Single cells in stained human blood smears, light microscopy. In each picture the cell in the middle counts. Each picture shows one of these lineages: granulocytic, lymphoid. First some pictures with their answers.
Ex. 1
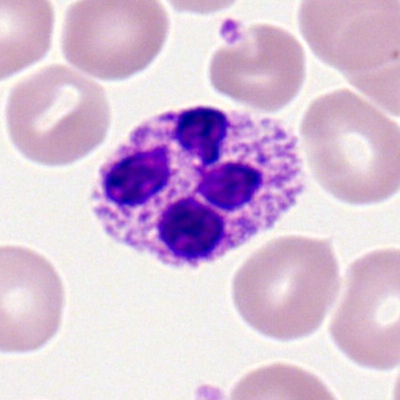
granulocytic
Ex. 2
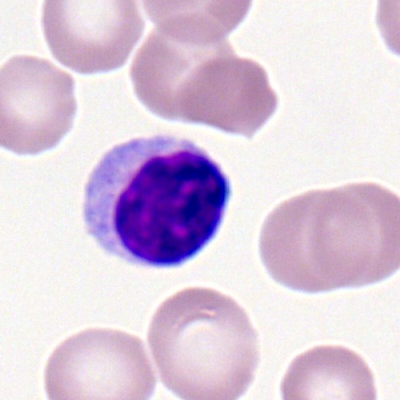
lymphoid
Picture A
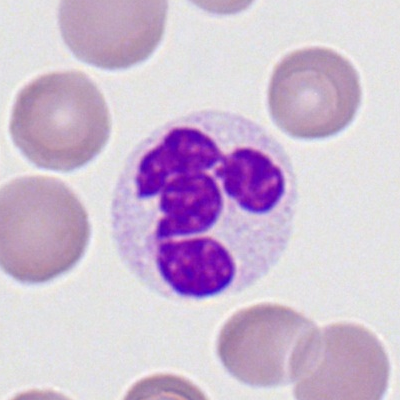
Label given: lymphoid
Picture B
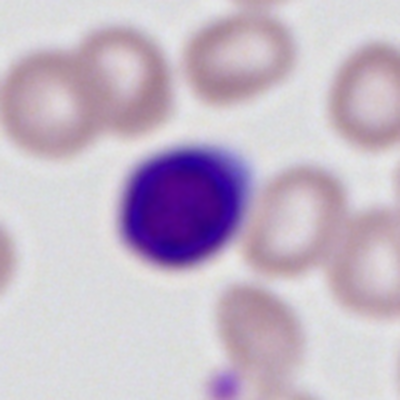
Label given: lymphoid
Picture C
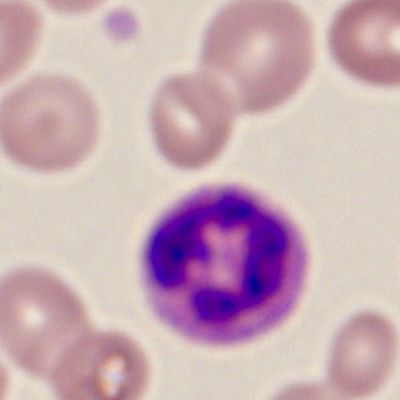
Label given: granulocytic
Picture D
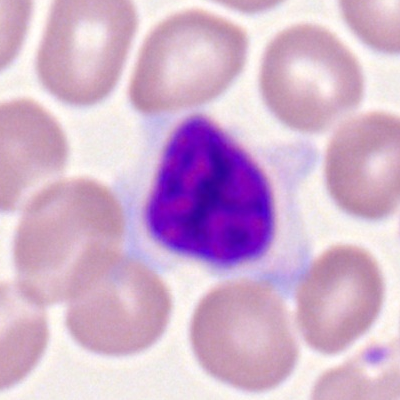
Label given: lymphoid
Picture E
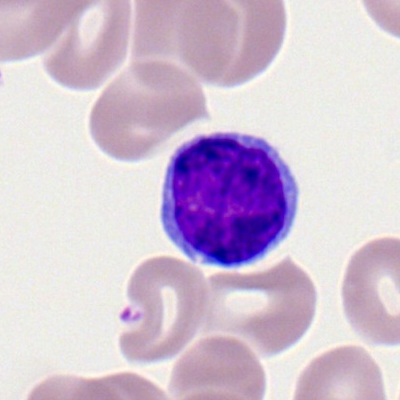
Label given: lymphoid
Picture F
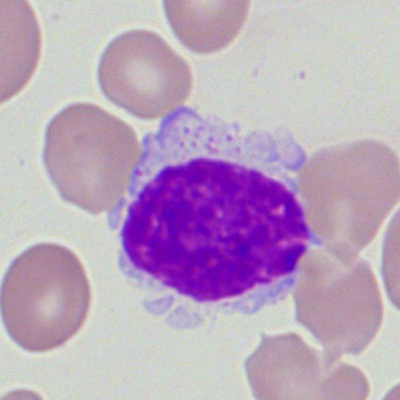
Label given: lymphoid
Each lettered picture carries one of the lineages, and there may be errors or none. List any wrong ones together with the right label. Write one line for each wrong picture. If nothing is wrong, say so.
A: change lymphoid to granulocytic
